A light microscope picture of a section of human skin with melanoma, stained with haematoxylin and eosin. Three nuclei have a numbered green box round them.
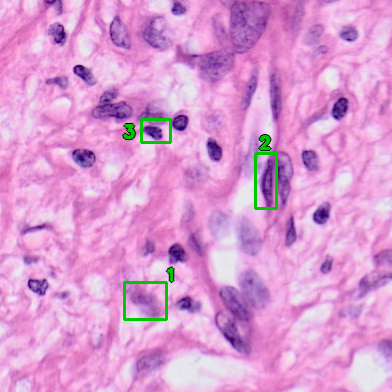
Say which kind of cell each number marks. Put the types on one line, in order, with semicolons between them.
fibroblast or myofibroblast; endothelial cell; lymphocyte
